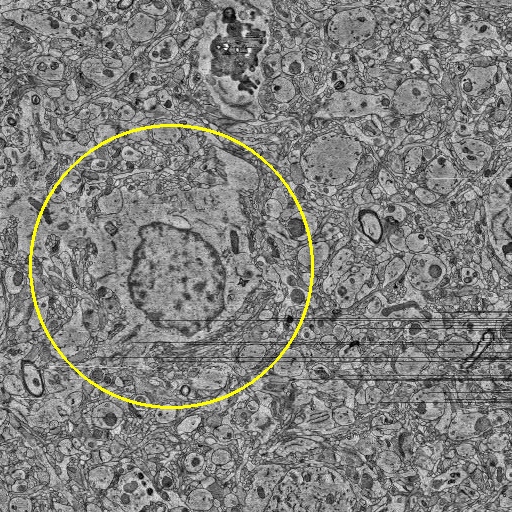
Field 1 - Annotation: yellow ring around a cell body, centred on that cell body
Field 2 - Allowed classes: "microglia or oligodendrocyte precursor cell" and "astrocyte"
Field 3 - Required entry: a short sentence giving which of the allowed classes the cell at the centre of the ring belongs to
The centred cell is an astrocyte.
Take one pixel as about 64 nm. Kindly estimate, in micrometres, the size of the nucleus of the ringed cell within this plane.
The nucleus works out at approximately 8 by 6 micrometres in this plane.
